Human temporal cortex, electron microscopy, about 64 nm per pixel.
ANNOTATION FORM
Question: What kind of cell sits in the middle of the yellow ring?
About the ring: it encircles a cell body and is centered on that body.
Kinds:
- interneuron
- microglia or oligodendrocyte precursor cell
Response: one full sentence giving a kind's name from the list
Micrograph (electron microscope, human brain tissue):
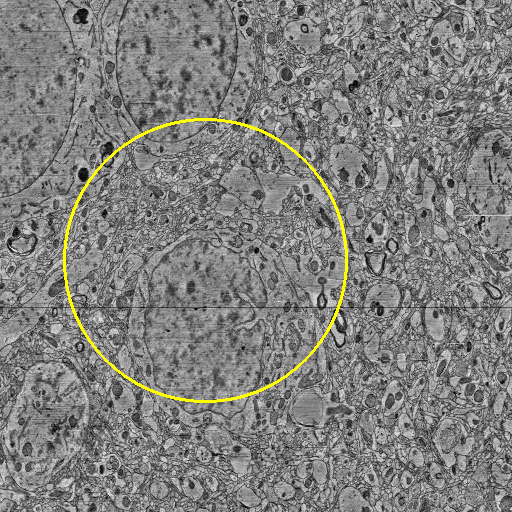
The kind of cell found at the center of the yellow ring in the micrograph is an interneuron.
